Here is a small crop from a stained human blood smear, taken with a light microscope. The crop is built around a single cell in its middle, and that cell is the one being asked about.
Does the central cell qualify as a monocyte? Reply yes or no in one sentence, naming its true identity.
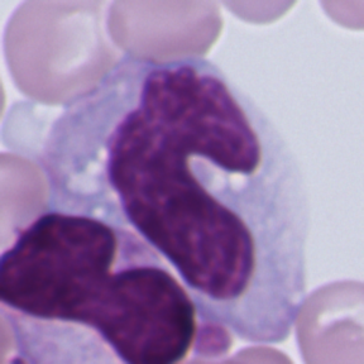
Yes, the cell right in the middle is a monocyte.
